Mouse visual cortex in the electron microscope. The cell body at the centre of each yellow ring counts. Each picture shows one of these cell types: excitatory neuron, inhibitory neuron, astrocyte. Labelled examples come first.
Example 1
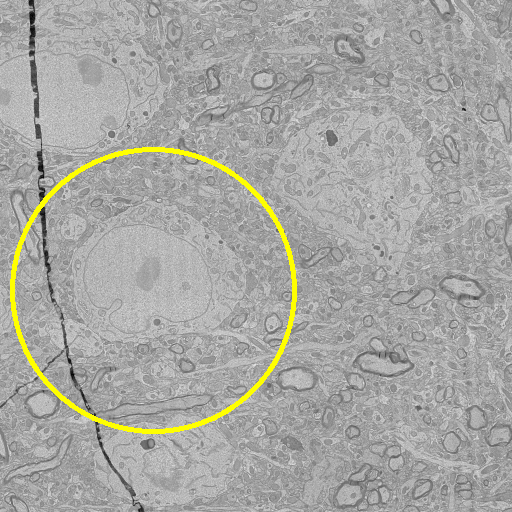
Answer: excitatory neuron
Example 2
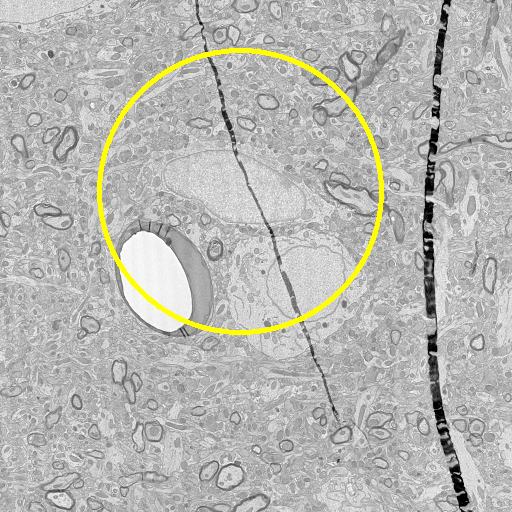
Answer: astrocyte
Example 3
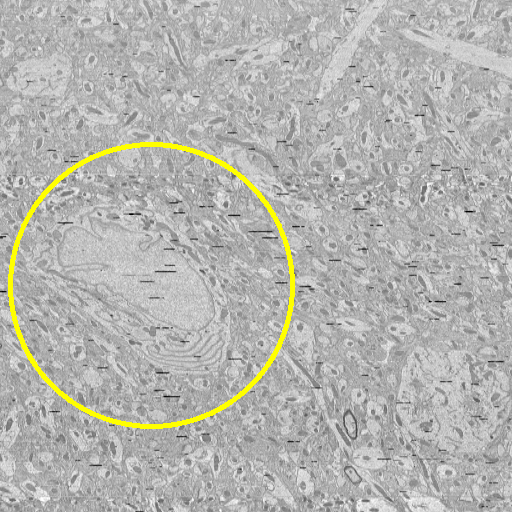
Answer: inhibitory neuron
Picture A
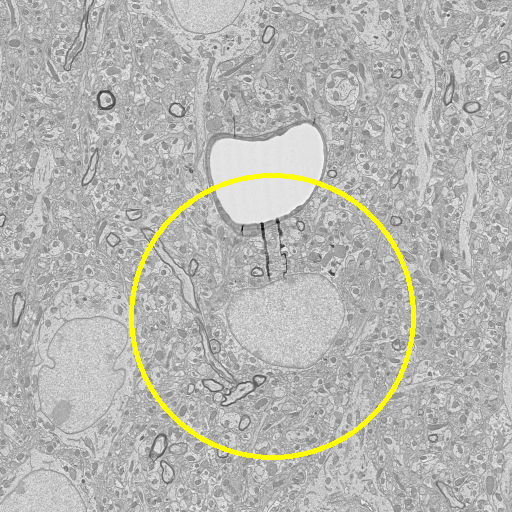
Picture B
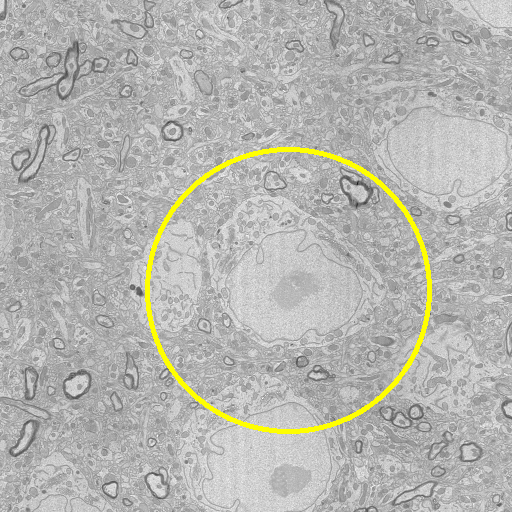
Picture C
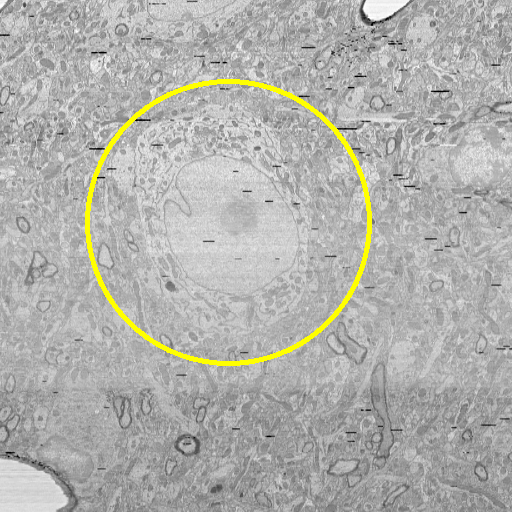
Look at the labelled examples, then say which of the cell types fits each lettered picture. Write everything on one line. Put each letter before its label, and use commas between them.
A astrocyte, B inhibitory neuron, C inhibitory neuron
